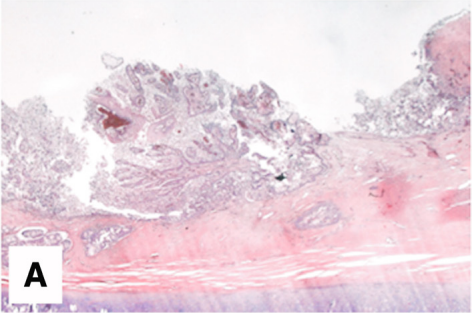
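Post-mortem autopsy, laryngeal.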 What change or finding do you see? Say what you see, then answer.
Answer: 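Branching papillary fronds project from the mucosal surface.
Hence: respiratory papillomas.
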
